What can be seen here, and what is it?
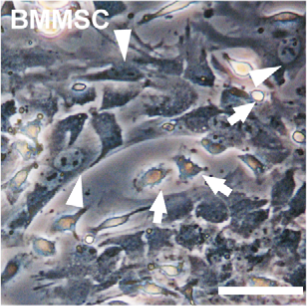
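The adherent cells are large and broad, with thinly spread cytoplasm and rather indistinct outlines. Small rounded cells, some phase-bright, rest on the surface of the flat cells. The spread cells lie close together and overlap, forming a dense sheet with granular darker areas.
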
